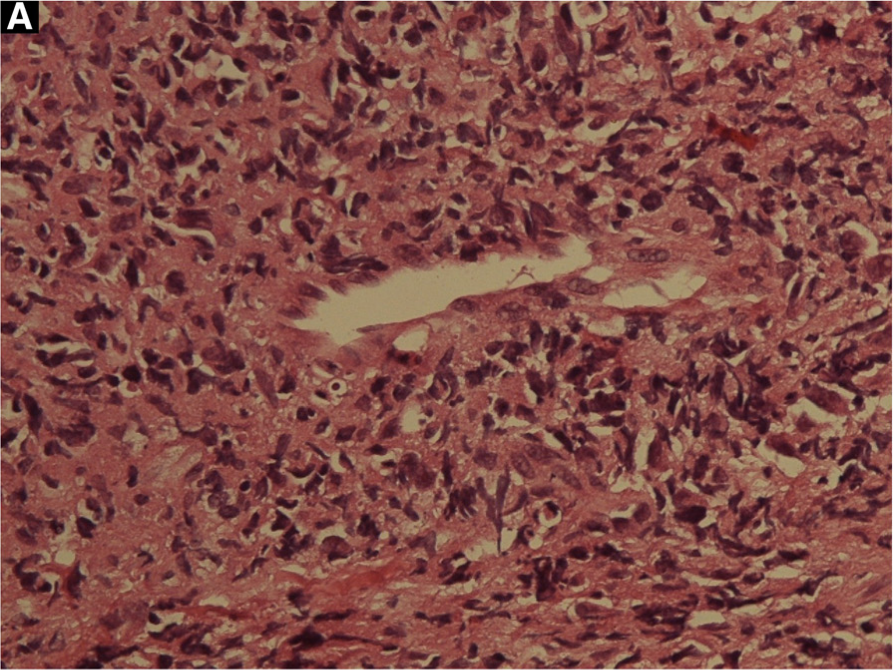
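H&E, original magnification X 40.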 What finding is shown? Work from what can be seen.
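A thin-walled vessel lumen lies in the centre of the field. Atypical cells crowd around and into the vessel wall. So: vaguely angiocentric pattern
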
